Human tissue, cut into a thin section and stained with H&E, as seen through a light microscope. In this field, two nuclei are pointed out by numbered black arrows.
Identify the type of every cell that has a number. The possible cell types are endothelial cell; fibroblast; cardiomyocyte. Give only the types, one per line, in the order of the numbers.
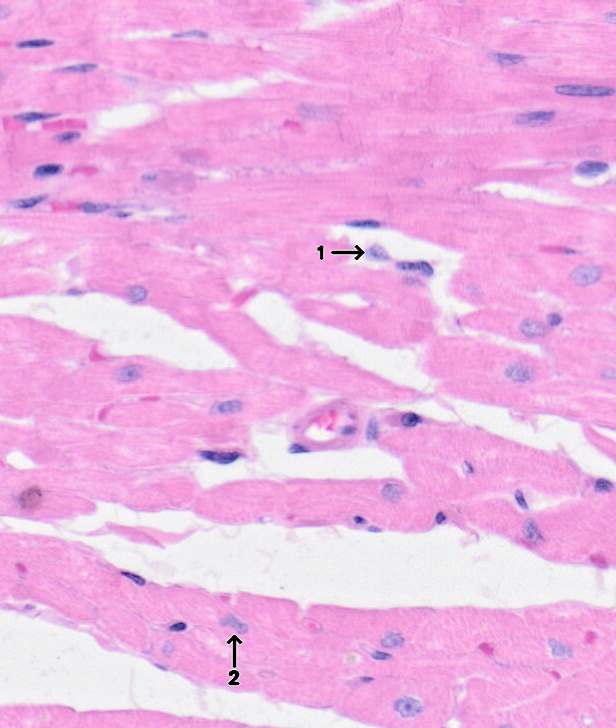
fibroblast
cardiomyocyte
